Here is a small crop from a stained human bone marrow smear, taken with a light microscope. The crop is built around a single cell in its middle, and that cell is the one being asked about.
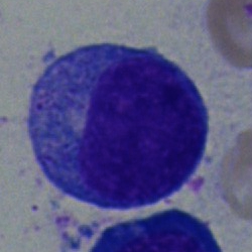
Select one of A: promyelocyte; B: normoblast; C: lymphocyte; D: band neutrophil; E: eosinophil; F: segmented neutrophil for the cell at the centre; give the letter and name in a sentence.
Option A is the correct option, with the middle cell being a promyelocyte.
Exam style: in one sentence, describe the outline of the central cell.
Happy to help: the outline is smooth and shows no projections.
